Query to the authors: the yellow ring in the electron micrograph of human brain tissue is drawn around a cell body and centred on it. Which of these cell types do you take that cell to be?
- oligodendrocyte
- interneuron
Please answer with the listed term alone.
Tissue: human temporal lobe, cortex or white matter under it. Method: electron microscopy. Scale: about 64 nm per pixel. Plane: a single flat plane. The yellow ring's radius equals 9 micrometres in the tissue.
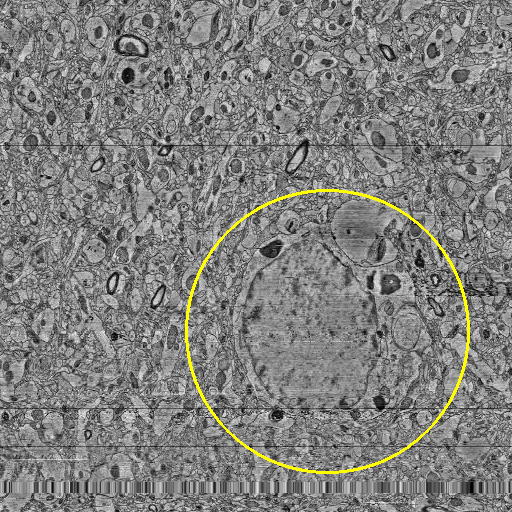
interneuron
